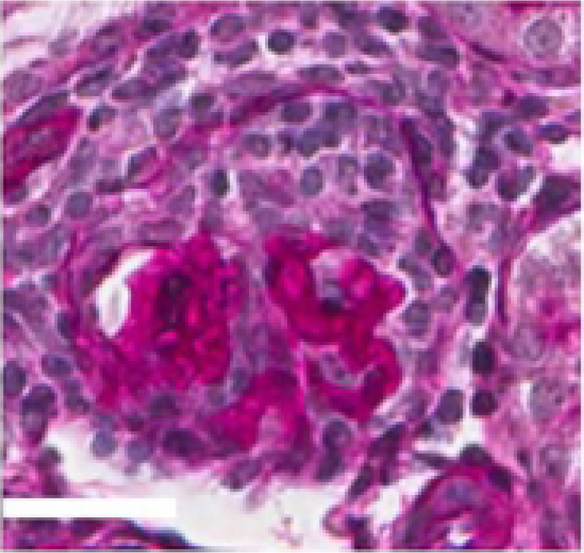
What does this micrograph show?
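A kidney glomerulus is shown with its tuft shrunken and compressed into a small, intensely magenta-stained mass. Around it, the space normally left clear is filled by several layers of crowded cells with oval dark nuclei, forming a crescent. Only small slit-like open spaces remain within the tuft, and the surrounding interstitium is also densely cellular.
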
